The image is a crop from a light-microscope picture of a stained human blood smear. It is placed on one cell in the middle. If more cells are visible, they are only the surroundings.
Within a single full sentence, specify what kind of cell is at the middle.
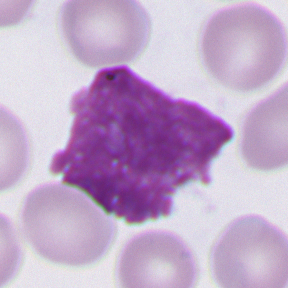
Regarding the central cell, it is a smudge cell.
